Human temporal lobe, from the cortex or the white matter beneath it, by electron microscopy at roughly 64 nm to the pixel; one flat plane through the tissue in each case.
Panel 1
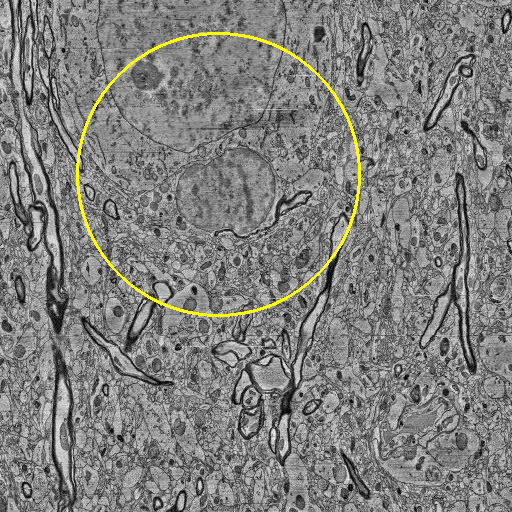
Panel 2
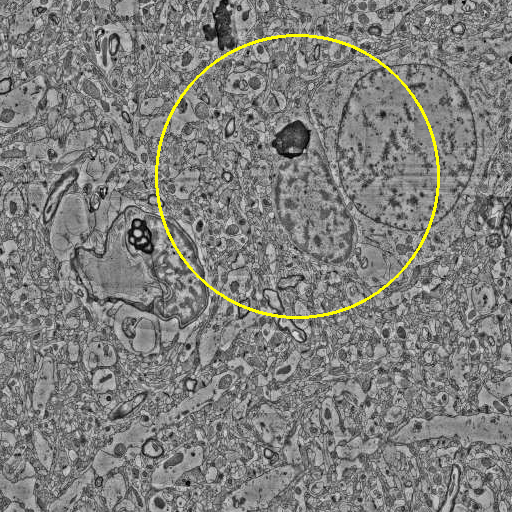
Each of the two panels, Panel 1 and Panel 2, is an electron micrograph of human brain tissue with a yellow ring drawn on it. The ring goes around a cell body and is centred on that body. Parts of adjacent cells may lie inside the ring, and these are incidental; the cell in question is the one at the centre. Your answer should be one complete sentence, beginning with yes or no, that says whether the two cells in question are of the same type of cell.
Yes, the two cells are of the same type.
